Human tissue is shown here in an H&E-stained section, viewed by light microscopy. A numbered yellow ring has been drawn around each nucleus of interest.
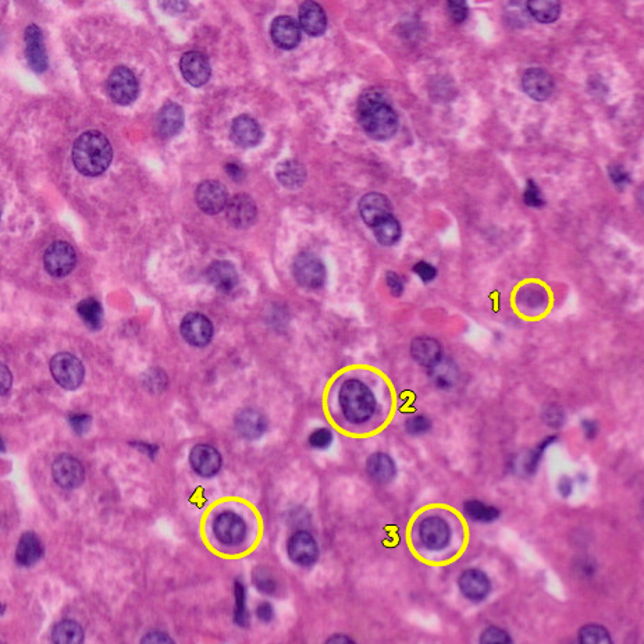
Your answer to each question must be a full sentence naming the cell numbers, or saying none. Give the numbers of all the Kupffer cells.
Cell 1, and no other numbered cell, is a Kupffer cell.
